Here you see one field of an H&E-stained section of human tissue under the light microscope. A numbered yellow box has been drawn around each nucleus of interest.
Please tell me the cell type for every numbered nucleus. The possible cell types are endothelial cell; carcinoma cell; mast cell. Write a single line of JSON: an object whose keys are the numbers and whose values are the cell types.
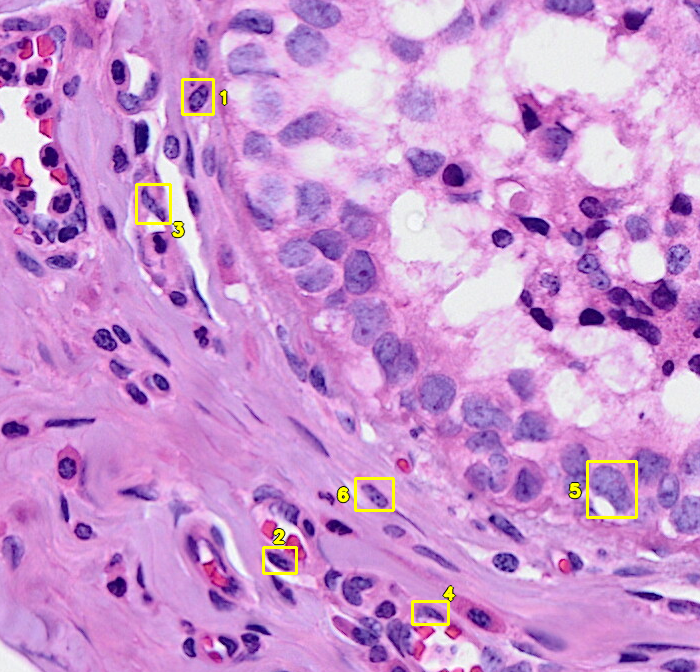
{"1": "mast cell", "2": "endothelial cell", "3": "endothelial cell", "4": "endothelial cell", "5": "carcinoma cell", "6": "mast cell"}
